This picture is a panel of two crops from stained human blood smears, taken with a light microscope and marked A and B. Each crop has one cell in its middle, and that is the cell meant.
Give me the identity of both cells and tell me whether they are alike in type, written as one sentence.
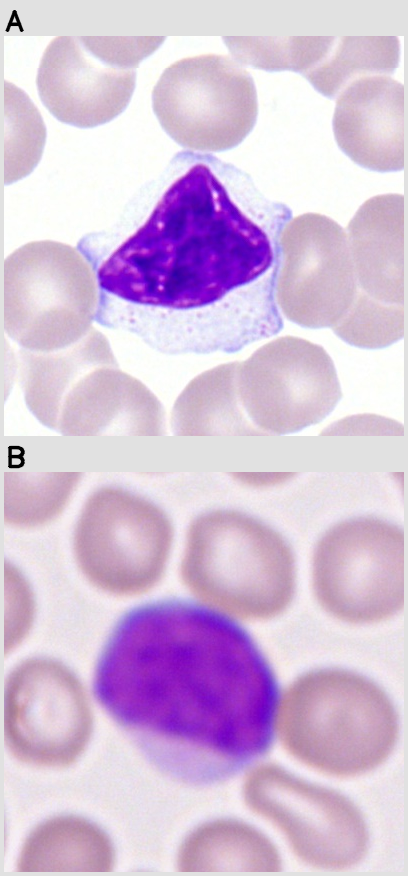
No, a blast is in crop B, and a lymphocyte is in crop A.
